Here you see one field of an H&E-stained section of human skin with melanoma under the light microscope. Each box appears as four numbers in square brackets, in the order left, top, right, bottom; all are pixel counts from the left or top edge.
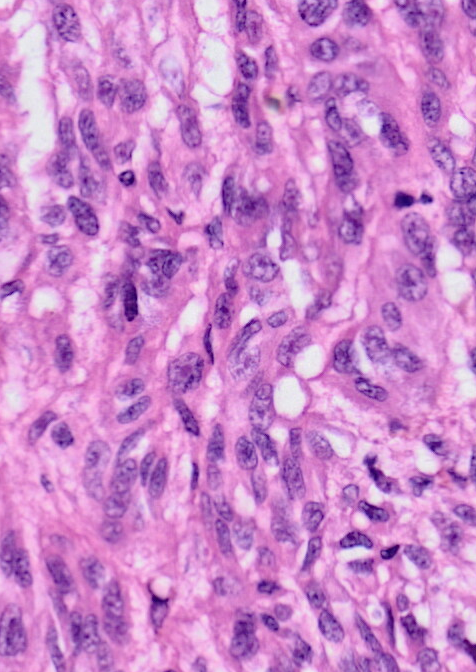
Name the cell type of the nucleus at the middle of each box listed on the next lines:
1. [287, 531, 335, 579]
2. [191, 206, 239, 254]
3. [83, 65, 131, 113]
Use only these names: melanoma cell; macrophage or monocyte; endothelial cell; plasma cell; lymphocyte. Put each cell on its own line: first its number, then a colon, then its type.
1: melanoma cell
2: macrophage or monocyte
3: melanoma cell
